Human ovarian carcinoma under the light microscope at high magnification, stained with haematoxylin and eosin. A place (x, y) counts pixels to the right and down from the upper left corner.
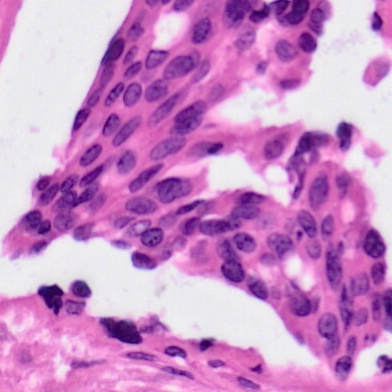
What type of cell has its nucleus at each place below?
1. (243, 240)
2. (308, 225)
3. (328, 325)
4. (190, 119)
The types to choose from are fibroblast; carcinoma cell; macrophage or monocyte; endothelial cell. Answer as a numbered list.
1. macrophage or monocyte
2. carcinoma cell
3. macrophage or monocyte
4. carcinoma cell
